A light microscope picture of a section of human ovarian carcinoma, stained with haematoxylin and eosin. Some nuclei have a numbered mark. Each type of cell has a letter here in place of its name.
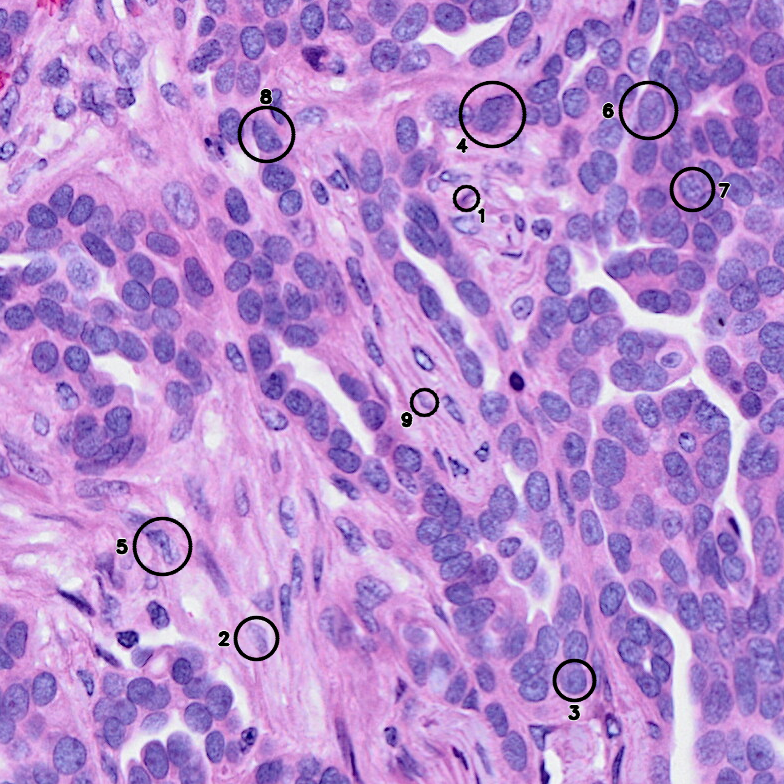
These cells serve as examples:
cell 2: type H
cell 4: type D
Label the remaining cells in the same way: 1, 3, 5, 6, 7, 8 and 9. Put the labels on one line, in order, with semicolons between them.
type H; type D; type H; type D; type D; type D; type H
